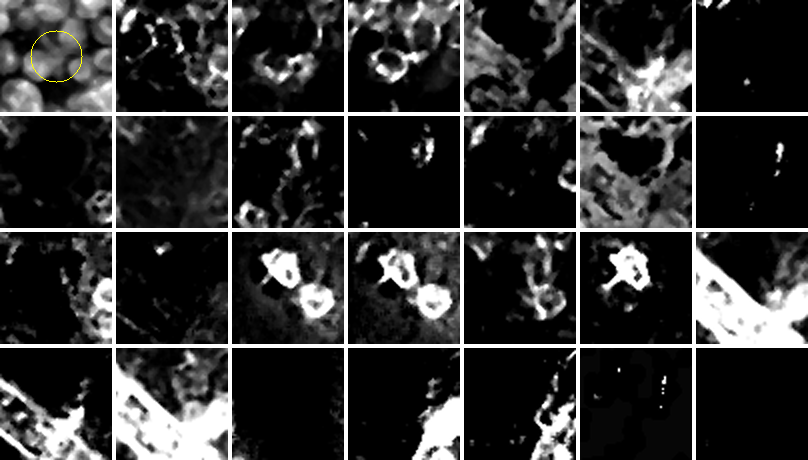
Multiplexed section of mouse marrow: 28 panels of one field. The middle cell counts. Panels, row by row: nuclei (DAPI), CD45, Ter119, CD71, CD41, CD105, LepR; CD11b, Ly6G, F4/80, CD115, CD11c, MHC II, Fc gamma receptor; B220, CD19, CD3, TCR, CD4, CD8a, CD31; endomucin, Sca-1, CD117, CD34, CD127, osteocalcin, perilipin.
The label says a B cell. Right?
Wrong: this is a CD8 T cell.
